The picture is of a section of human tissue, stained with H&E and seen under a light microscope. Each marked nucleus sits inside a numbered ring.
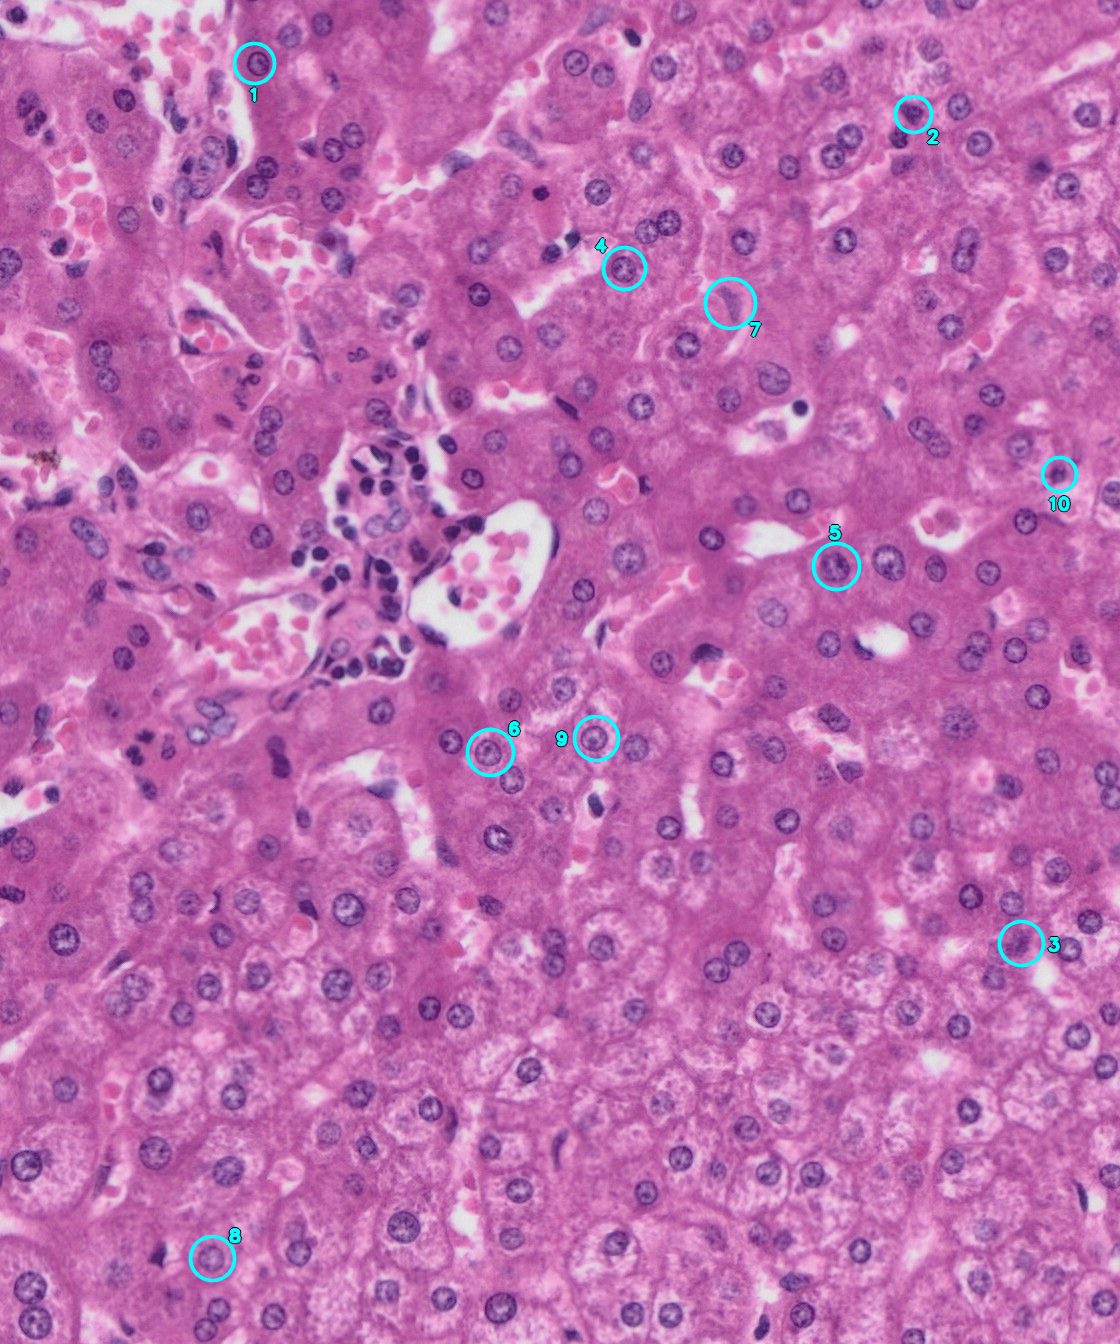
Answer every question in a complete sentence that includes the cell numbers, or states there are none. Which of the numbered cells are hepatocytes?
The cells that have been numbered 1, 4, 5, 6, 8 and 9 are hepatocytes.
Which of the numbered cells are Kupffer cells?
Cell 7 is the only one of the numbered cells that is a Kupffer cell.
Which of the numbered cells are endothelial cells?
Among the numbered cells, cell 3 alone is an endothelial cell.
